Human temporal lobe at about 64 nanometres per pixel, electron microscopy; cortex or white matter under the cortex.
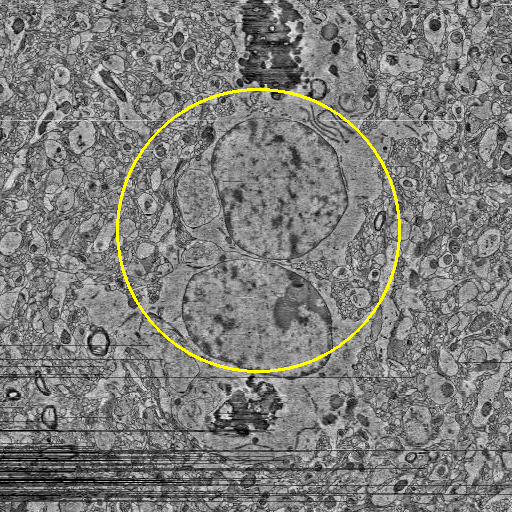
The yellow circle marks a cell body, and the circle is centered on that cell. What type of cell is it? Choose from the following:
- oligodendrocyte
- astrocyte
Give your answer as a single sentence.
This cell body belongs to an astrocyte.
